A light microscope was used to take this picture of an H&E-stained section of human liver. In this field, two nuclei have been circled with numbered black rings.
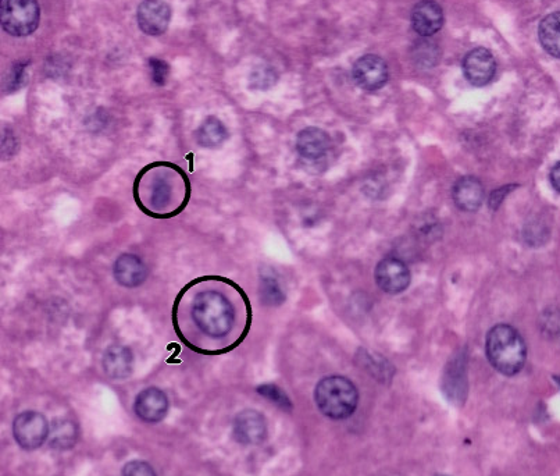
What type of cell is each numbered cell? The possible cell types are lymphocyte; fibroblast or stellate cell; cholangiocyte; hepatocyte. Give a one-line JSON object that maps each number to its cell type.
{"1": "fibroblast or stellate cell", "2": "hepatocyte"}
